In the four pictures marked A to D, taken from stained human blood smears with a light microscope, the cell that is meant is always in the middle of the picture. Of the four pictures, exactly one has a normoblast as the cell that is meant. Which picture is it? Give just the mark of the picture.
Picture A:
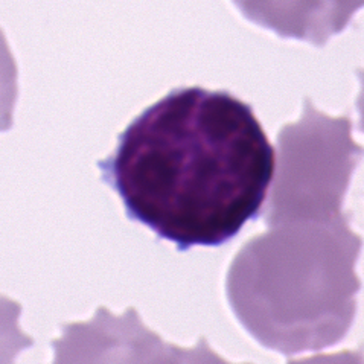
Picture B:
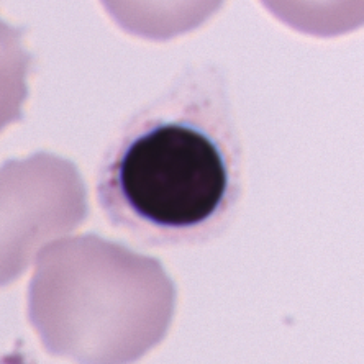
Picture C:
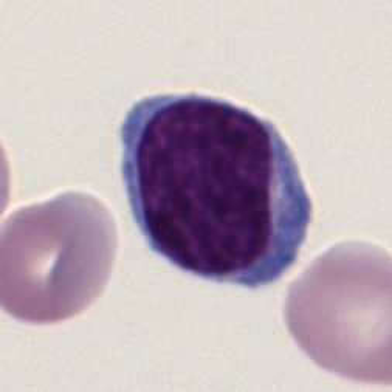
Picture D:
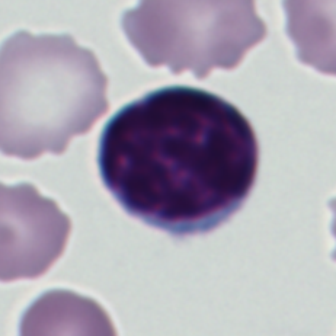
B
